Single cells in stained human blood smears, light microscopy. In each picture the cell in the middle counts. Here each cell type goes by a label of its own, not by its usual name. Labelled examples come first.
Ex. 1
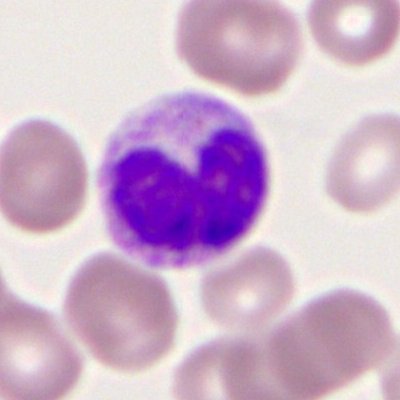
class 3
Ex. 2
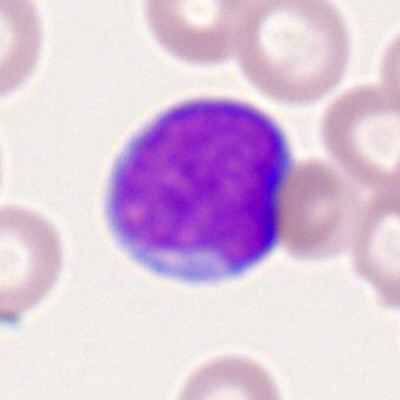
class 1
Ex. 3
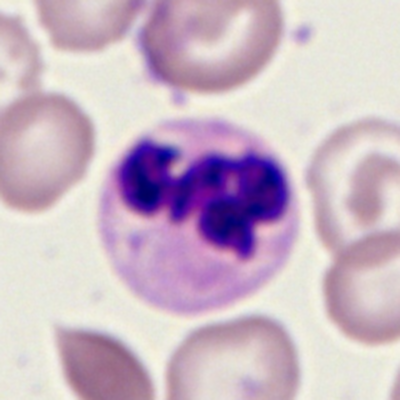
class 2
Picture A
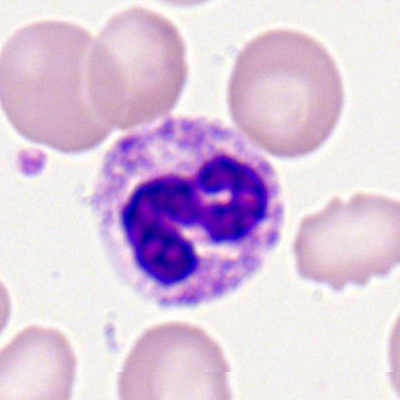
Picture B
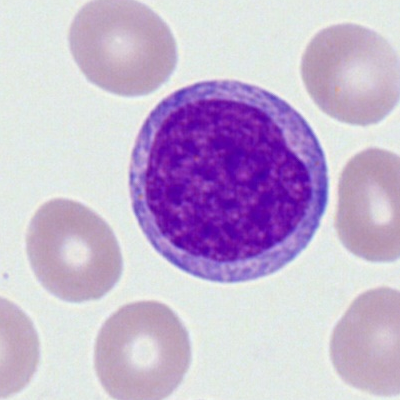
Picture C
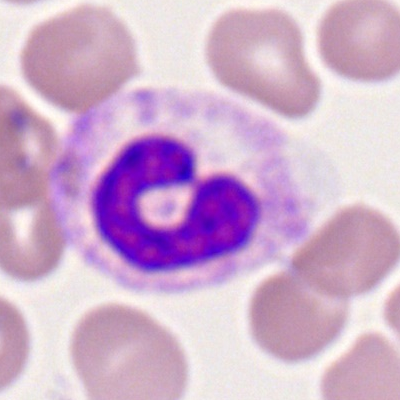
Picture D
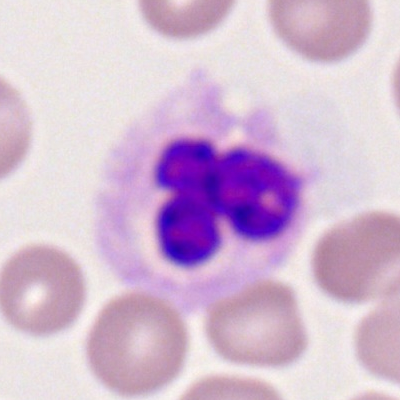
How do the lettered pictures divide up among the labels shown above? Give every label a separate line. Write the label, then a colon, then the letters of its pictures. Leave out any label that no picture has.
class 3: C
class 1: B
class 2: A, D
